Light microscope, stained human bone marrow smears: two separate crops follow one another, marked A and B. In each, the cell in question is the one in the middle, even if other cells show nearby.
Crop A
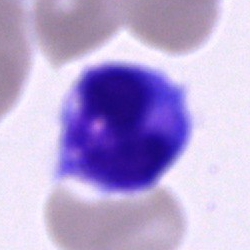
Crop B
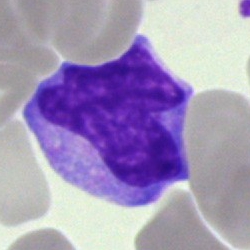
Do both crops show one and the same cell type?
yes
